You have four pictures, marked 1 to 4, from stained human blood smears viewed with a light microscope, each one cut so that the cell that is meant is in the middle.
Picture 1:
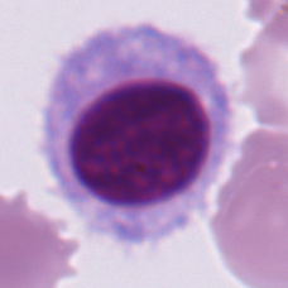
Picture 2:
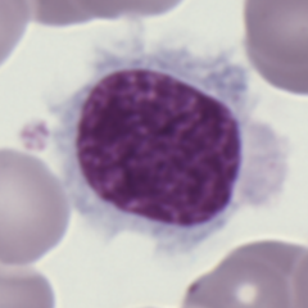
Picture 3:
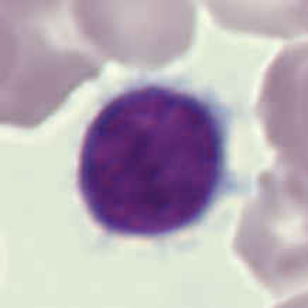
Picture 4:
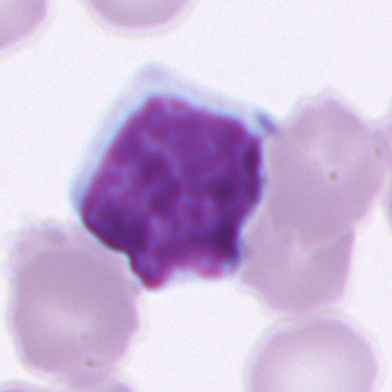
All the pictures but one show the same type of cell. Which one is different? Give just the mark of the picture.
4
